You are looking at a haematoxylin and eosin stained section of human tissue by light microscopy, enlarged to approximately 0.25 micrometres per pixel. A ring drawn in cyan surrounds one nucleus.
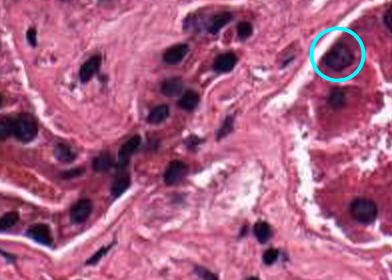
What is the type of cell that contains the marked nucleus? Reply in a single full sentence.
The nucleus indicated by the mark belongs to a proximal tubule cell.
